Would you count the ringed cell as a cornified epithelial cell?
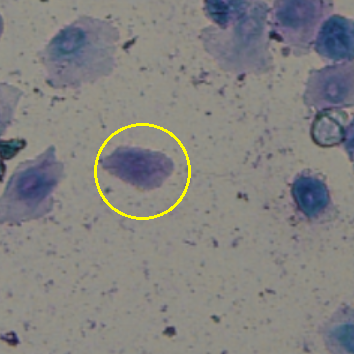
Yes, I would count it as a cornified epithelial cell.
